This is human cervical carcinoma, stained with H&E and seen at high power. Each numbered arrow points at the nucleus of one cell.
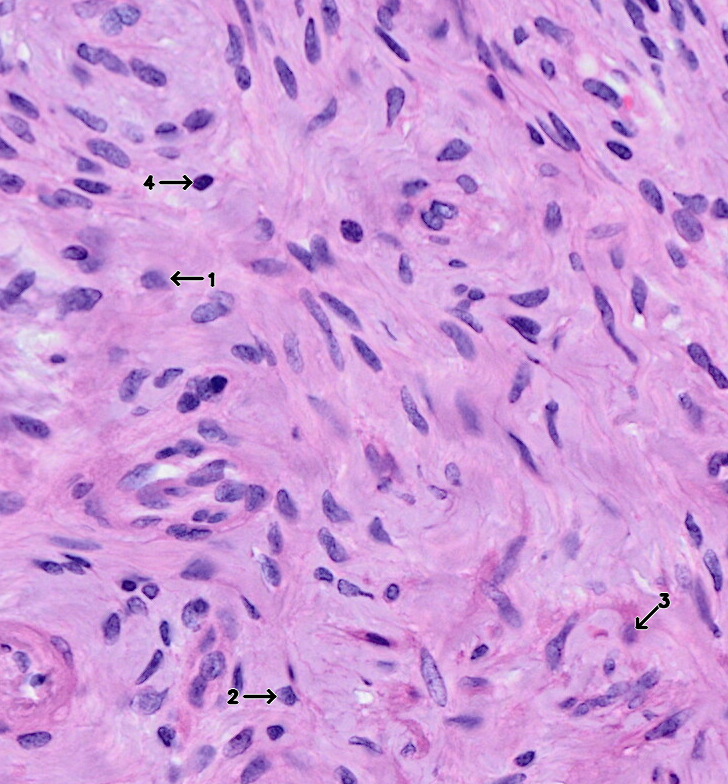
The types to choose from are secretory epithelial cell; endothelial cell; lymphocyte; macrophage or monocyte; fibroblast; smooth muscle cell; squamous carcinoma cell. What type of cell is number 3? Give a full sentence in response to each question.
The numbered cell 3 is identified here as a smooth muscle cell.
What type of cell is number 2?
Denoted by the label 2 in the section is a fibroblast.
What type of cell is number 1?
In the tissue shown, cell 1 is a fibroblast.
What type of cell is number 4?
Cell 4 in the field is a lymphocyte.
